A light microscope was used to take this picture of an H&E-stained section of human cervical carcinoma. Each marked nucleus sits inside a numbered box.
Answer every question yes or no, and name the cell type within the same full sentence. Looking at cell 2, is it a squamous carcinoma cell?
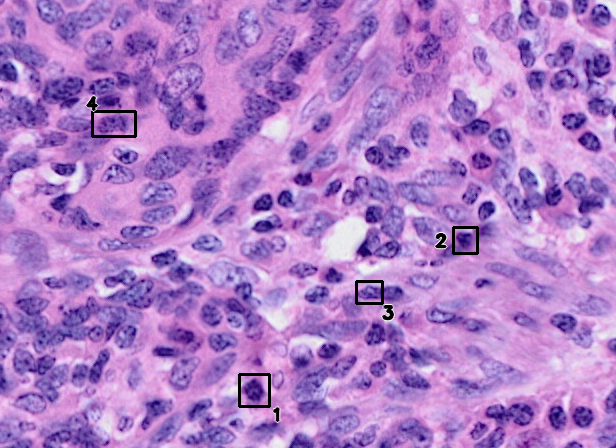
No, a lymphocyte is what cell 2 is, not a squamous carcinoma cell.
